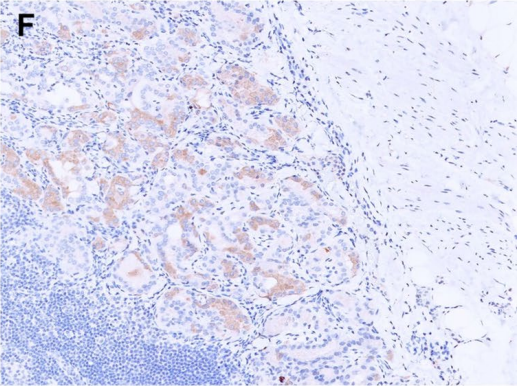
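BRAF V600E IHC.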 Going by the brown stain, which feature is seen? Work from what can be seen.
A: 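Brown-stained epithelial cells form small follicles. Some neighbouring follicles are unstained. Unstained blue lymphocytes lie at the lower left. That points to this answer: neoplastic follicles.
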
